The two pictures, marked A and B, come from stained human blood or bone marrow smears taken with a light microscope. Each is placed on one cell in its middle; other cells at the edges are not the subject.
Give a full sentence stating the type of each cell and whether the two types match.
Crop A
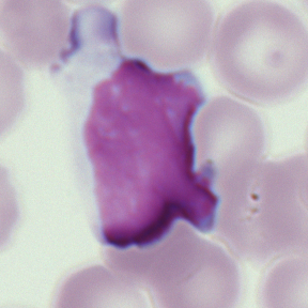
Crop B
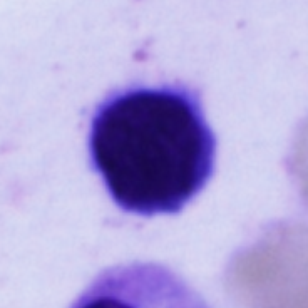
Yes, both crops contain lymphocytes at their centres.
